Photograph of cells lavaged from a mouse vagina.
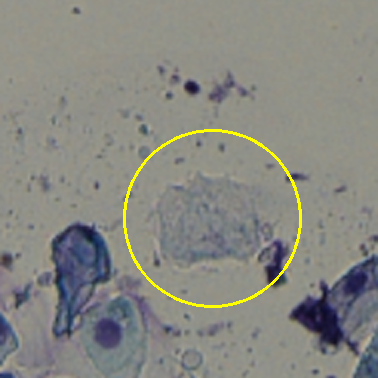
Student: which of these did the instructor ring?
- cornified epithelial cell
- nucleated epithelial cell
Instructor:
The cell I ringed is a cornified epithelial cell.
